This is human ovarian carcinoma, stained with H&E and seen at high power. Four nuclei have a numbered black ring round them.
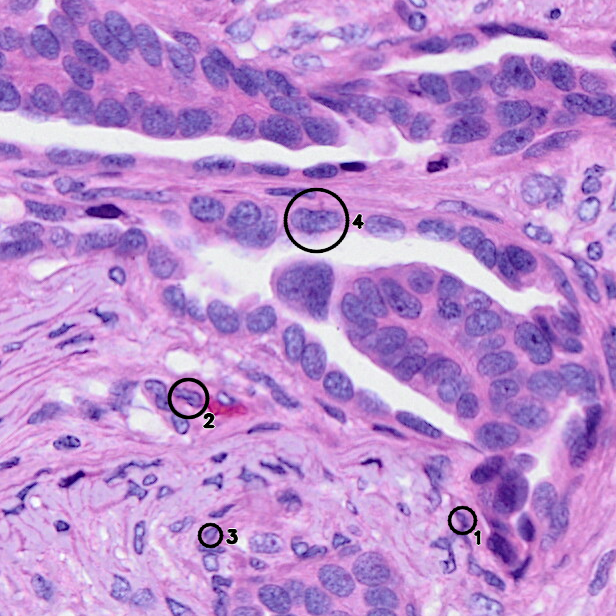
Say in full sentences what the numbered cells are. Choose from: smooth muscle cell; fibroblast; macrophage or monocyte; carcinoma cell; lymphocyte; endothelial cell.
Cell 1 is a fibroblast, cell 2 is an endothelial cell, cell 3 is a fibroblast and cell 4 is a carcinoma cell.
